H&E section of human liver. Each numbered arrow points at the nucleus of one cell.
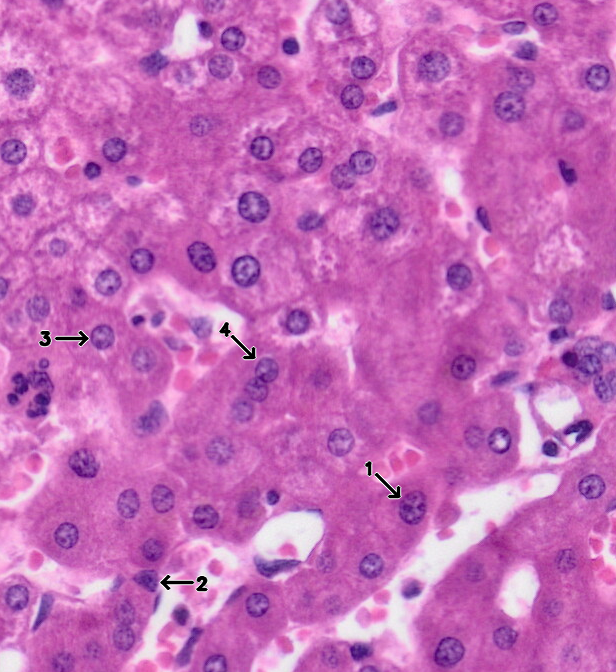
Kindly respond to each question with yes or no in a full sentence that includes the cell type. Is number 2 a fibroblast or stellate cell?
Yes, and to answer plainly, cell 2 is a fibroblast or stellate cell.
